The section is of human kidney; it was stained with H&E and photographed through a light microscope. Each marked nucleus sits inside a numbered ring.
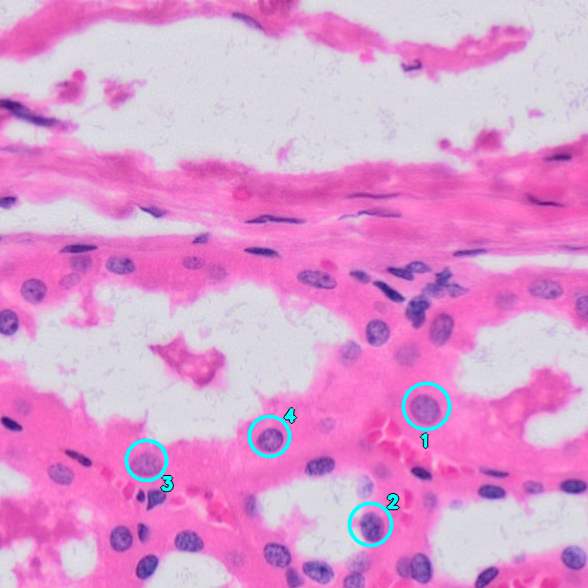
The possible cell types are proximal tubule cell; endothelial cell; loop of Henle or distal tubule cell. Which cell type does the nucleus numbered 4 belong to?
proximal tubule cell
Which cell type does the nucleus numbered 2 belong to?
loop of Henle or distal tubule cell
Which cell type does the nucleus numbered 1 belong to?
proximal tubule cell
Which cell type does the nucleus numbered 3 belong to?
proximal tubule cell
